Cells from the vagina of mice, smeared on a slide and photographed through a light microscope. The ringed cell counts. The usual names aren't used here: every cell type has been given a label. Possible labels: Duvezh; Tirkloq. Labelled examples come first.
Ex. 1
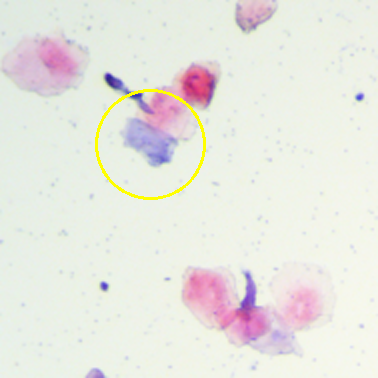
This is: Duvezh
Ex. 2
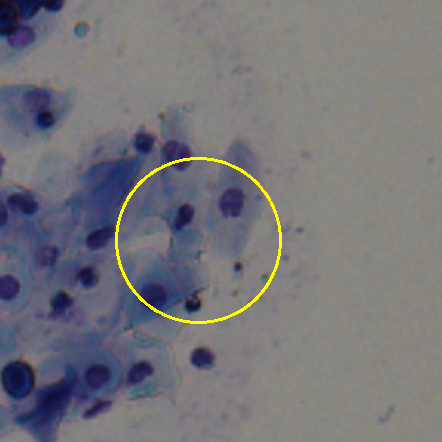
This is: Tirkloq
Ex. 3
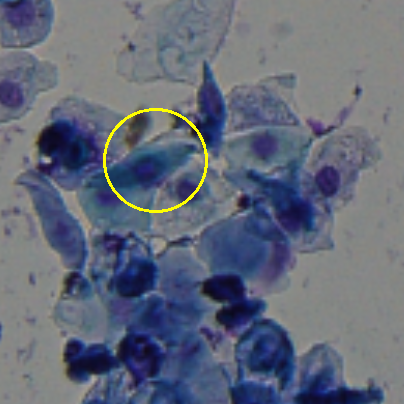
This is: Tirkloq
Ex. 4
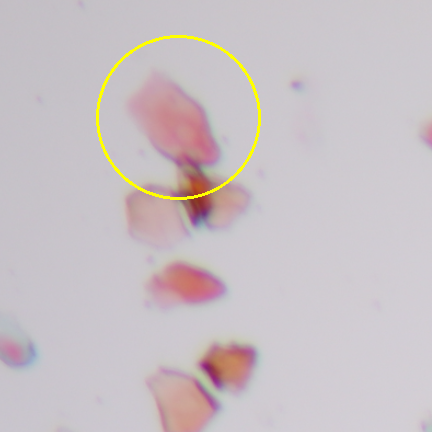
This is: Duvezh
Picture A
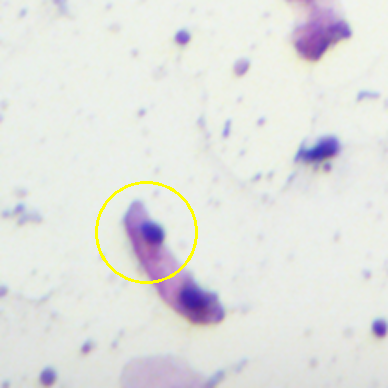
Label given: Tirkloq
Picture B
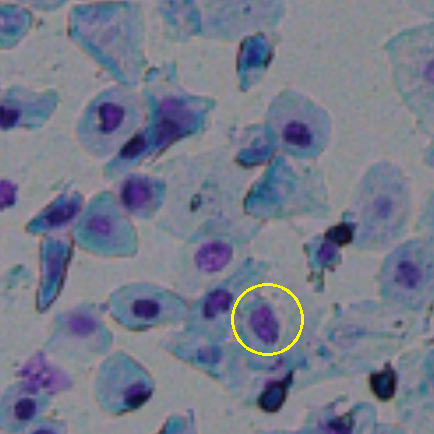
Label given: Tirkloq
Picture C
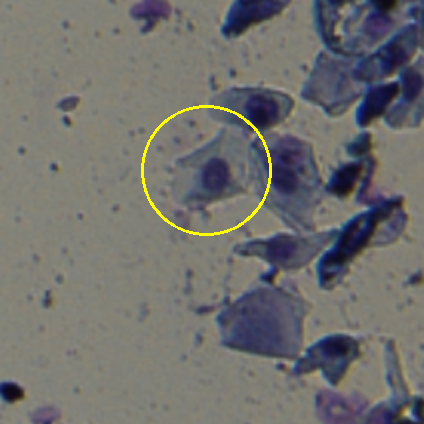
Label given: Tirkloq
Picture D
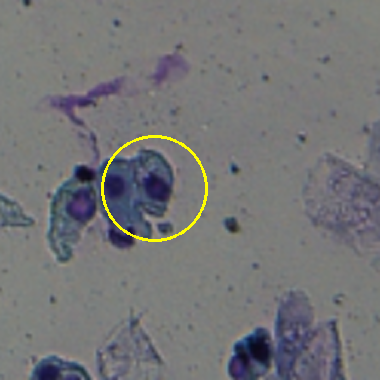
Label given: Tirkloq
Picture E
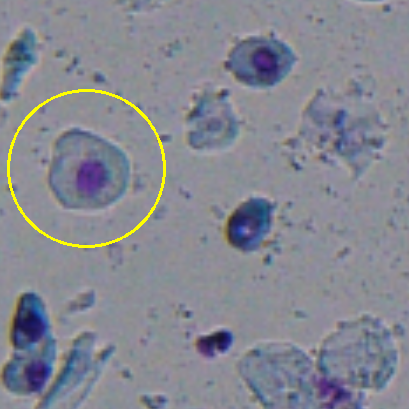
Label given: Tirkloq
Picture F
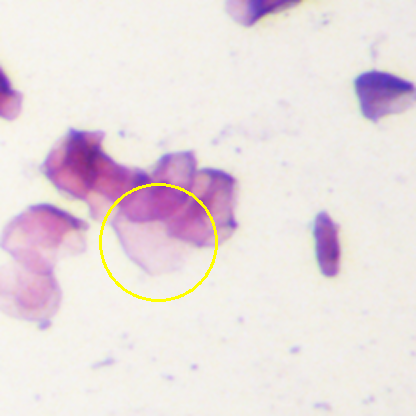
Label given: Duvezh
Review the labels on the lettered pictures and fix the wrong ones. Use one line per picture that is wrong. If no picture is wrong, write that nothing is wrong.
No label is wrong.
